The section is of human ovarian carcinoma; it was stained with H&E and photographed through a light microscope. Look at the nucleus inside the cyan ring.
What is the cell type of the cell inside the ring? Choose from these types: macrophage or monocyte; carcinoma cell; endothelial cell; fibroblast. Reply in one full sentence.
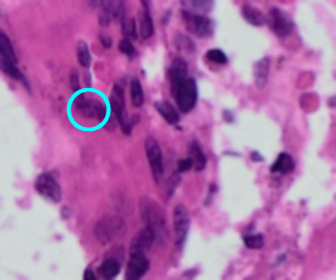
The cell inside the ring appears to be an endothelial cell.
